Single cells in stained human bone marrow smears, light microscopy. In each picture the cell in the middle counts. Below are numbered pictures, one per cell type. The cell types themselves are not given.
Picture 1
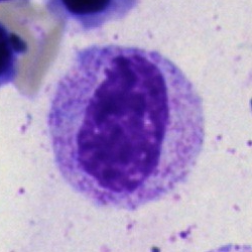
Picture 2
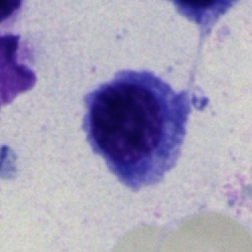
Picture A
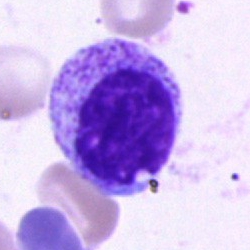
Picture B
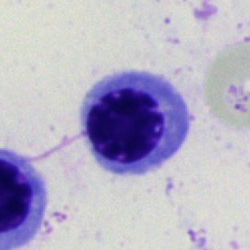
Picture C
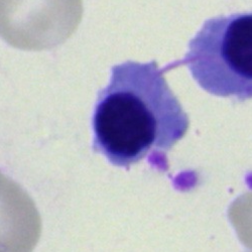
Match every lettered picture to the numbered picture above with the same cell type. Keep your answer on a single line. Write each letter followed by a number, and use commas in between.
A 1, B 2, C 2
